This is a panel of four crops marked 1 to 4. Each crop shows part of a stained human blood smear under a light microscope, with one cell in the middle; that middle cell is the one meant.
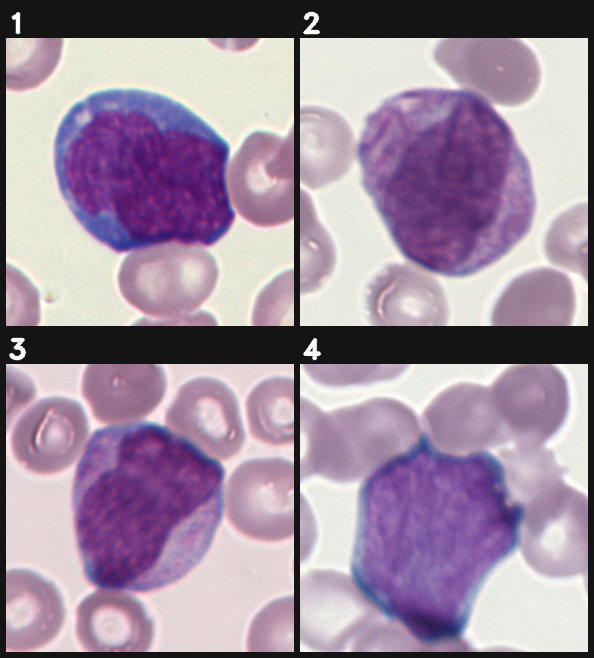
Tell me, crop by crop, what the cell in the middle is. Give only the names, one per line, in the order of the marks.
myeloblast
atypical promyelocyte
atypical promyelocyte
myeloblast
